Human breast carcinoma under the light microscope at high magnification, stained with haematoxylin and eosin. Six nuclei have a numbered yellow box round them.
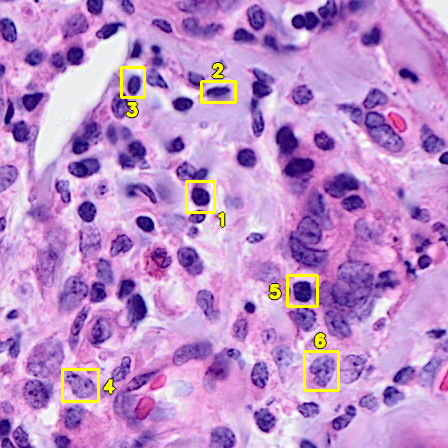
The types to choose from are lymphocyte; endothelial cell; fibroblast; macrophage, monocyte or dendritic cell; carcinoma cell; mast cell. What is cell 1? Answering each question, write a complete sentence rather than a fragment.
Corresponding to a lymphocyte is the cell labelled 1.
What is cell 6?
At number 6, the marked cell is a macrophage, monocyte or dendritic cell.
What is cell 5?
The nucleus with number 5 is that of a lymphocyte.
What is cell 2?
The cell referenced by the number 2 is a lymphocyte in this field.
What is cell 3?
Looking at the numbered marks, cell 3 is a lymphocyte.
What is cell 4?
The marked cell bearing number 4 is a macrophage, monocyte or dendritic cell.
